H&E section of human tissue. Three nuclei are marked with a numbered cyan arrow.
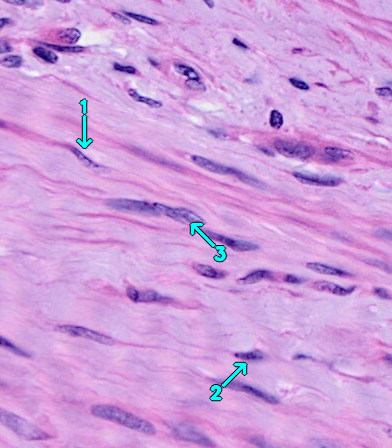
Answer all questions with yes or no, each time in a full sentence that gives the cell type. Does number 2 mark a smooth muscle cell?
No, the cell tagged 2 is a fibroblast, and not a smooth muscle cell.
